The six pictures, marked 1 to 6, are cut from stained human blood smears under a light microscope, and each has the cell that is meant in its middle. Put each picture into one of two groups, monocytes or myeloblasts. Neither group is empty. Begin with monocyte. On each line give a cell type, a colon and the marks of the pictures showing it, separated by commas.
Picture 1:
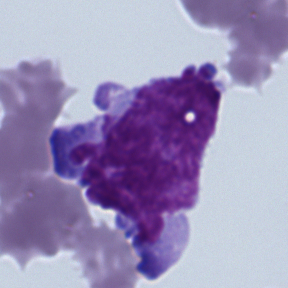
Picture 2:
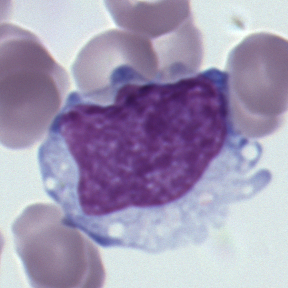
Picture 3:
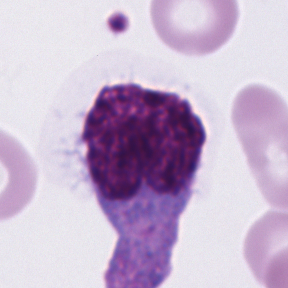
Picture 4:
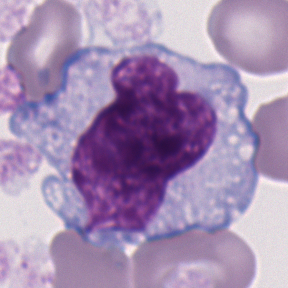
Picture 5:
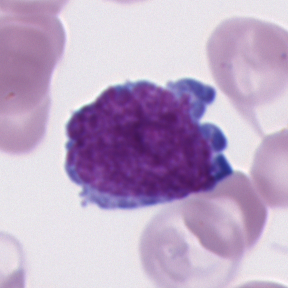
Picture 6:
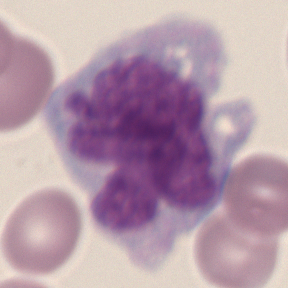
monocyte: 3, 4, 6
myeloblast: 1, 2, 5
